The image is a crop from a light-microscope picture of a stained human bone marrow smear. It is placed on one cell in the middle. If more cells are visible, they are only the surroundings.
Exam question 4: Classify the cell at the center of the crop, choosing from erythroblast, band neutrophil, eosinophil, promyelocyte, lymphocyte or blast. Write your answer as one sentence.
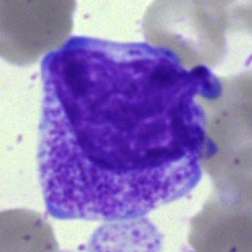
Centred in the crop is a promyelocyte.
